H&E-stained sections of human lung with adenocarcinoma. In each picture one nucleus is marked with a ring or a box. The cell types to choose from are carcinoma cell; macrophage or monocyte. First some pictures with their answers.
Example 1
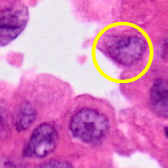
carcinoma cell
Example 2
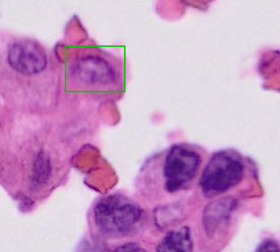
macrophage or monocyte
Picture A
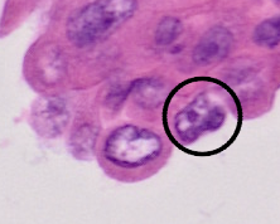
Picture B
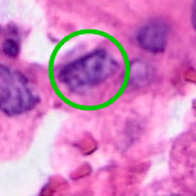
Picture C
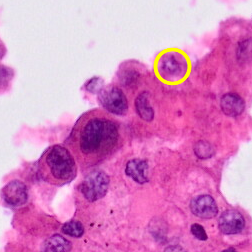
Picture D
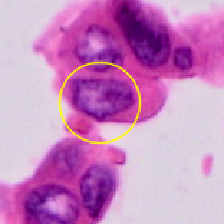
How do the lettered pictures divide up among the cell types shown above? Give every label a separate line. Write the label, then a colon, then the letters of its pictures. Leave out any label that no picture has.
carcinoma cell: A, B, D
macrophage or monocyte: C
